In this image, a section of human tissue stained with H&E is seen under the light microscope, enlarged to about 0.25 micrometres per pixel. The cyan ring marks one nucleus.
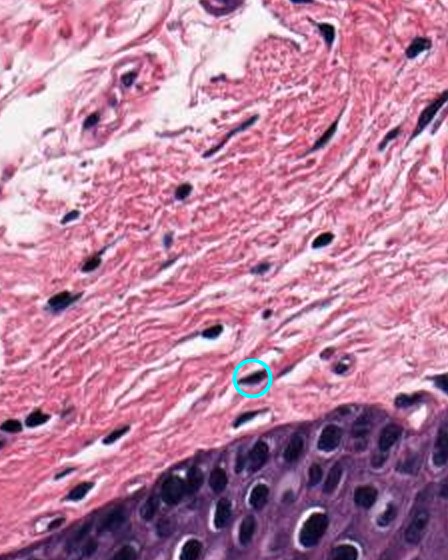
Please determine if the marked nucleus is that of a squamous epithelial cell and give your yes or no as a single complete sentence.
No, not to a squamous epithelial cell does the marked nucleus belong, but to a supporting cell.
